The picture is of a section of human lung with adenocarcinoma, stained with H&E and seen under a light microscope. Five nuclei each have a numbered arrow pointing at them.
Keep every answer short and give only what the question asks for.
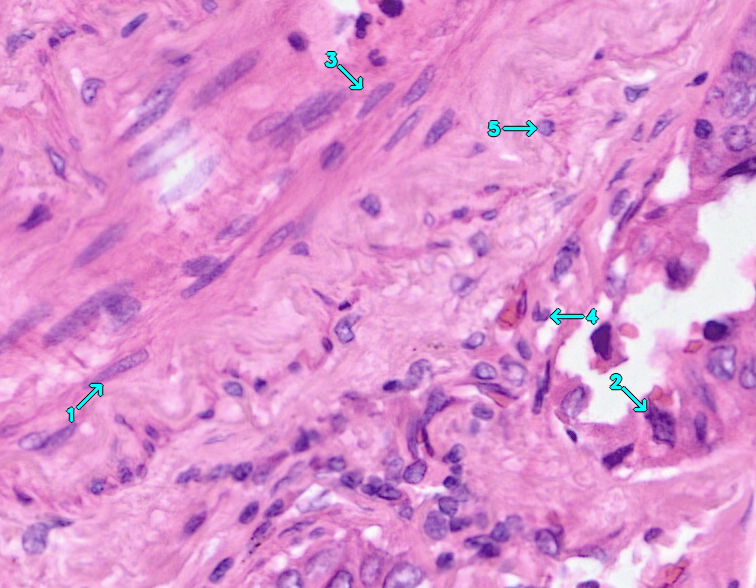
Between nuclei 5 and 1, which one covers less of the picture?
5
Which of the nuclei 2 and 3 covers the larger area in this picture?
2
